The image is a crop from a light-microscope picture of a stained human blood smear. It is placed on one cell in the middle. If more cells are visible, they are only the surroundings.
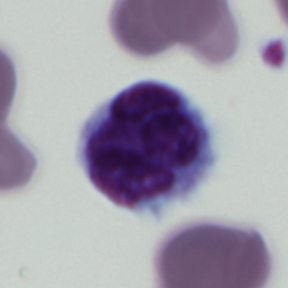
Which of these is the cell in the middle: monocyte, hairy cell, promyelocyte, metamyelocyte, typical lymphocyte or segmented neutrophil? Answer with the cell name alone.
monocyte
